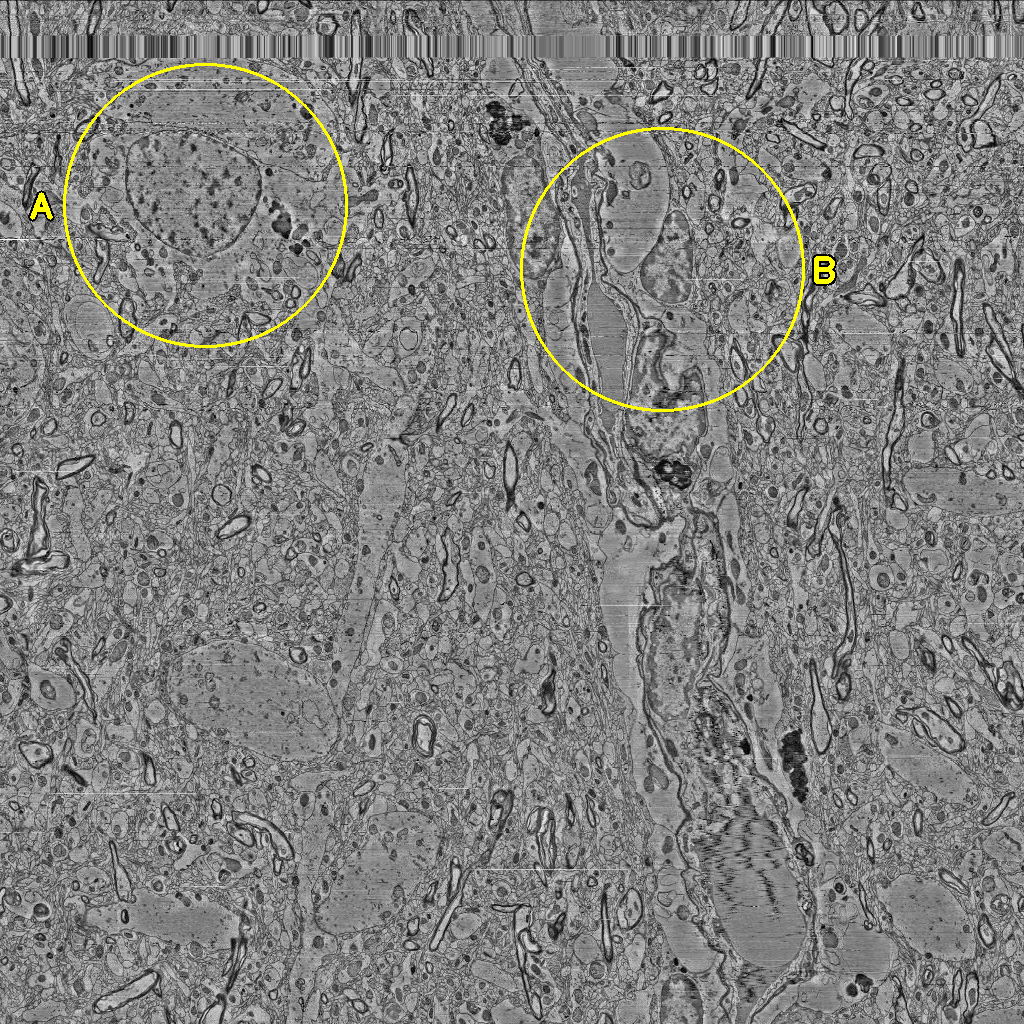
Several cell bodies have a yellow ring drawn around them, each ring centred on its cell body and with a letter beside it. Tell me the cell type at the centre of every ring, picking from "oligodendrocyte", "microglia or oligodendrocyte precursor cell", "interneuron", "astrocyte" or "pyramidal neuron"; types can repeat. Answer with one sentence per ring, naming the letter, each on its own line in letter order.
In ring A, the central cell is an astrocyte.
In ring B, the central cell is a microglial cell or oligodendrocyte precursor cell.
